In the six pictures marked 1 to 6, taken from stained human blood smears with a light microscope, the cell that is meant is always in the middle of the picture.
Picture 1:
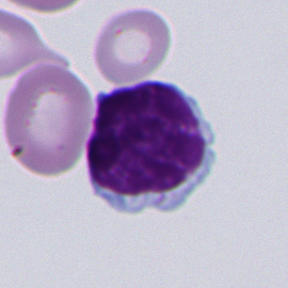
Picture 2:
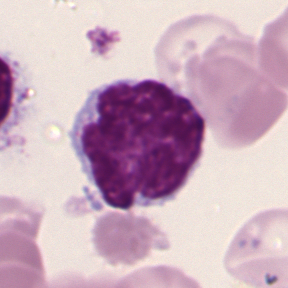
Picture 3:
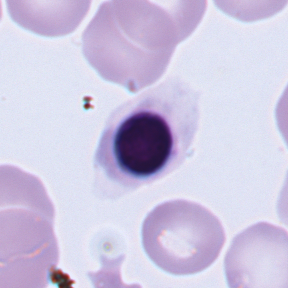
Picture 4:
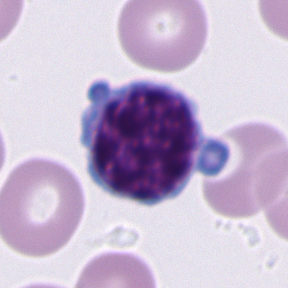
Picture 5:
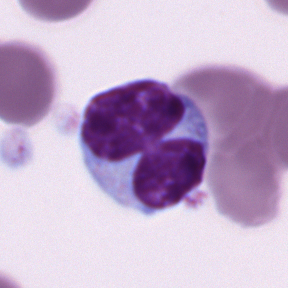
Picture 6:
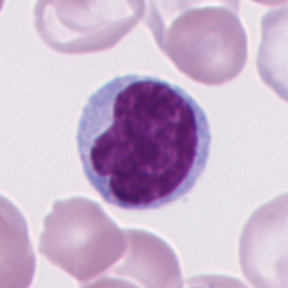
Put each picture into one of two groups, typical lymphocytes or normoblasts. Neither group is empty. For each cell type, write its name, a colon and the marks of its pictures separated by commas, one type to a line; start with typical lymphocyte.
typical lymphocyte: 1, 2, 5, 6
normoblast: 3, 4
